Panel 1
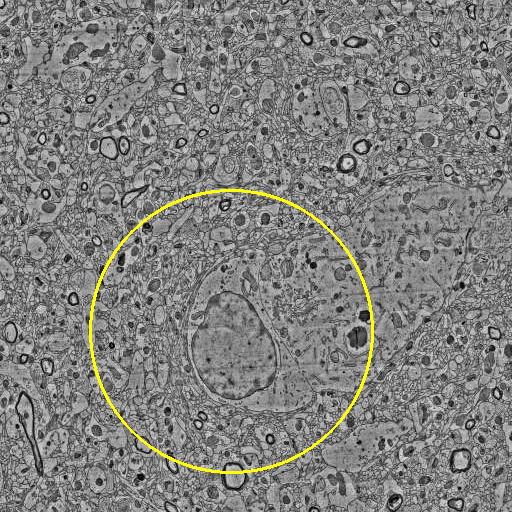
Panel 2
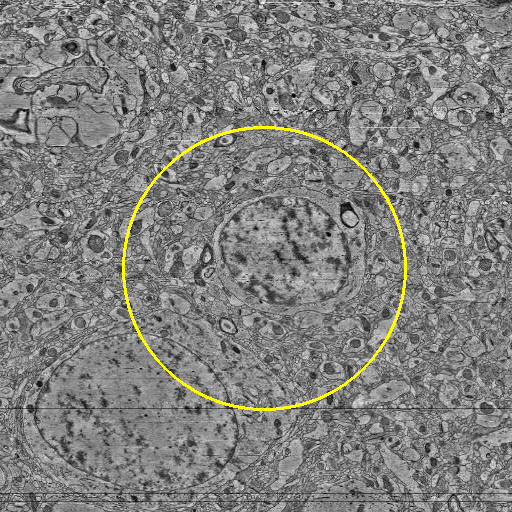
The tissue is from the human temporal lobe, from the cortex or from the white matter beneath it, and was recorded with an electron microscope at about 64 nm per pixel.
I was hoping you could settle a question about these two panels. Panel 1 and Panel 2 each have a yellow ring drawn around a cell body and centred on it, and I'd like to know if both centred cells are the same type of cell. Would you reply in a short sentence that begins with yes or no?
No, they are two types of cell.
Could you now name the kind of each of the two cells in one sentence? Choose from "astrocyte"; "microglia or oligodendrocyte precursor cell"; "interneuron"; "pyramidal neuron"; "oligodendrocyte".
The first ring encloses a microglial cell or oligodendrocyte precursor cell; the second ring encloses an interneuron.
